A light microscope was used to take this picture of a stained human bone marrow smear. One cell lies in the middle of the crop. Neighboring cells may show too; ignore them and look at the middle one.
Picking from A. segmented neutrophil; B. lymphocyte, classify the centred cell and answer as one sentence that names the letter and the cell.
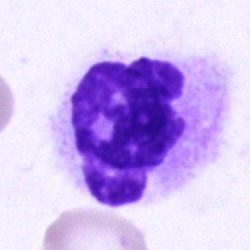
Option A holds, for the cell in the middle is a segmented neutrophil.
